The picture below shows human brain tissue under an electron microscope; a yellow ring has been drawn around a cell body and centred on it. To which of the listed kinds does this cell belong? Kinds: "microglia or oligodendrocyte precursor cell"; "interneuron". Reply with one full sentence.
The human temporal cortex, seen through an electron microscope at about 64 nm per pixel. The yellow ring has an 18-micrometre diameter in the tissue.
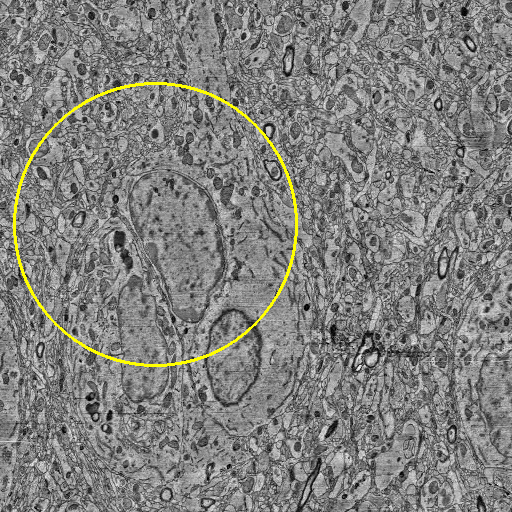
It is a microglial cell or oligodendrocyte precursor cell that the yellow ring in the picture is centred on.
